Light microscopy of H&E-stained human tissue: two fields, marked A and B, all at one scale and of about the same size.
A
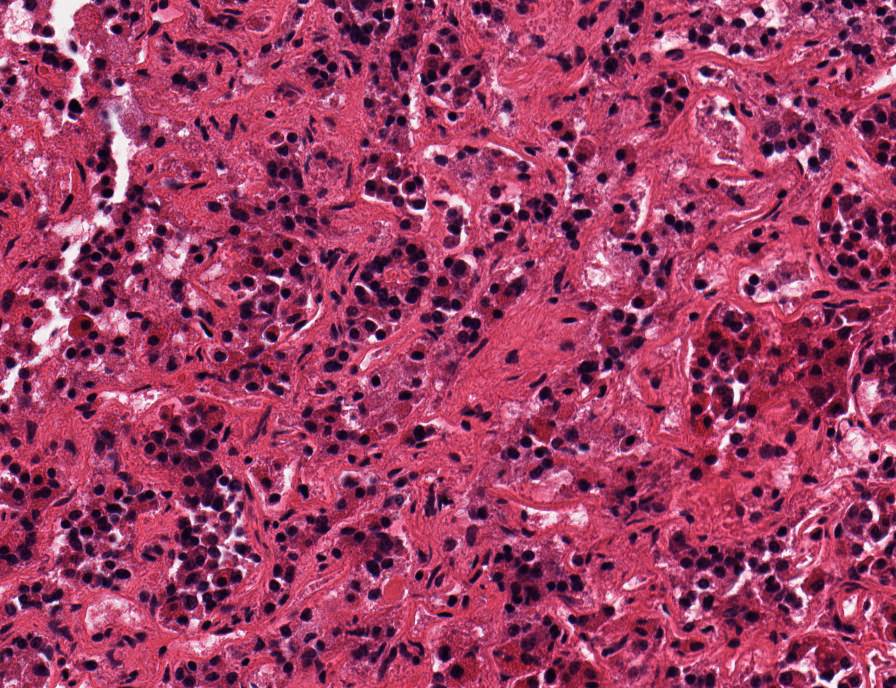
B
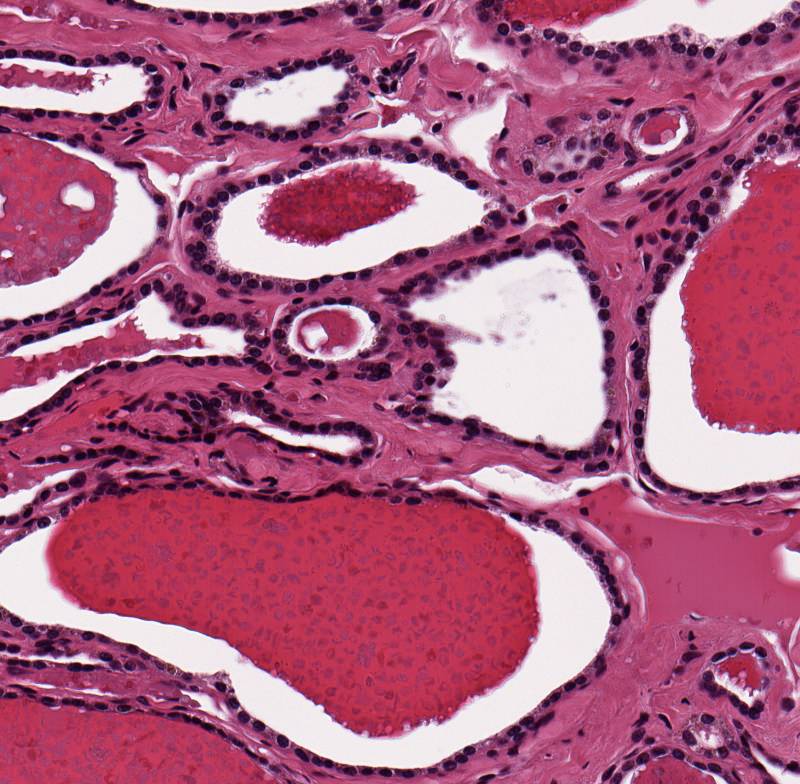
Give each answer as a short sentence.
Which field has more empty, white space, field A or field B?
It is field B in which white space covers the larger part.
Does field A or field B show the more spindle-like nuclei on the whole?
The nuclei are more elongated in field B.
